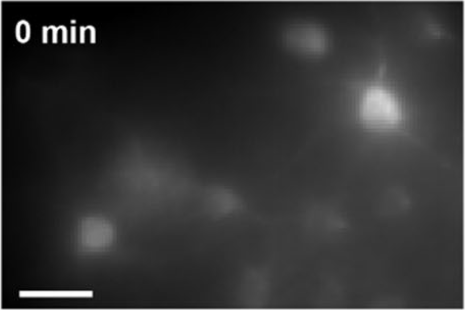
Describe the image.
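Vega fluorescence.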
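The brightest cell, toward the upper right, has an angular cell body with a thick process leaving it toward the top of the image, and other, dimmer cell bodies lie at the lower left and near the top. Faint, thin processes run between the cells, and a soft haze surrounds them because light also comes from tissue that is out of focus.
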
